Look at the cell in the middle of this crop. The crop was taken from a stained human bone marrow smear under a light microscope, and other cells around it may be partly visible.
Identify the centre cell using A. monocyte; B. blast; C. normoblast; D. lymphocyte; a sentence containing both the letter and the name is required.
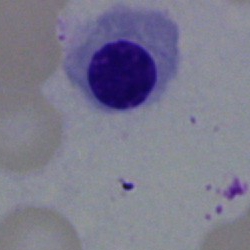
Since the cell in the centre is a normoblast, the correct option is C.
